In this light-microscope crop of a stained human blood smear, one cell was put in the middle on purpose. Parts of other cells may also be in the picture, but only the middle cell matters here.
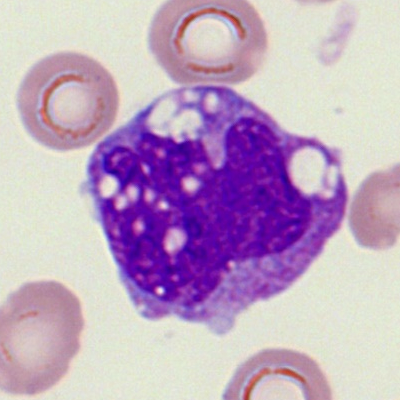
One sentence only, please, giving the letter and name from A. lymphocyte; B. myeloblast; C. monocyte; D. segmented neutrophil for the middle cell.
Option C is correct, naming the cell in the middle as a monocyte.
